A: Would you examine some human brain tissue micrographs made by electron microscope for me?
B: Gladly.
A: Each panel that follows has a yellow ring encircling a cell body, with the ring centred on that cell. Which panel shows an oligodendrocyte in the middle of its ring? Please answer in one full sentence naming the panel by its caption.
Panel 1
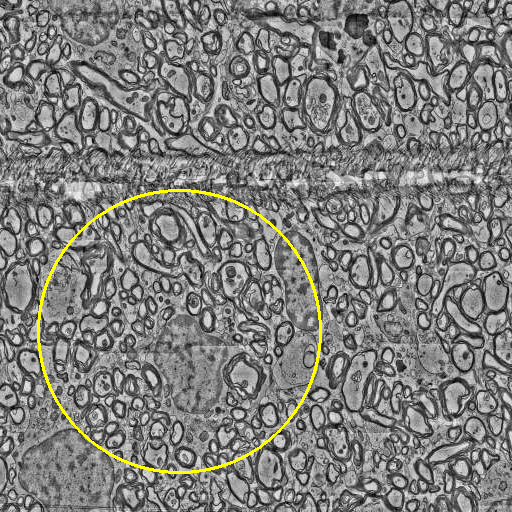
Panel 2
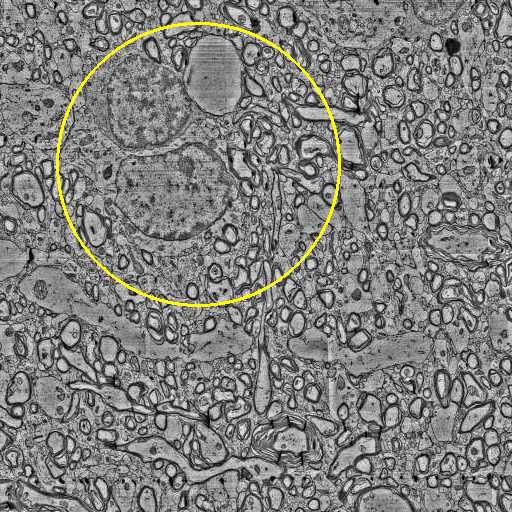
Panel 1 is where the ring sits centred on the requested cell.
